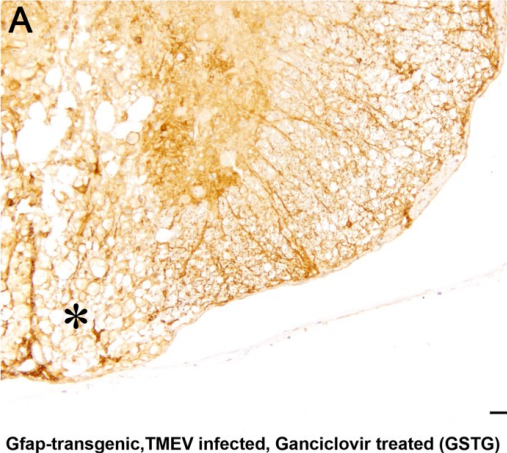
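Spinal cord white matter at the outer rim of a cross section, with a pale, loosely labelled meshwork of round clear spaces. Toward the lower left, near the outer surface, wide areas are nearly unlabelled and strongly vacuolated, with only thin brown strands left between large empty spaces. Brown labelling is stronger in fine radial strands and in a darker zone toward the upper part of the section, nearer the grey matter. Compared to an evenly labelled rim, the labelled area here is patchy and reduced.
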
